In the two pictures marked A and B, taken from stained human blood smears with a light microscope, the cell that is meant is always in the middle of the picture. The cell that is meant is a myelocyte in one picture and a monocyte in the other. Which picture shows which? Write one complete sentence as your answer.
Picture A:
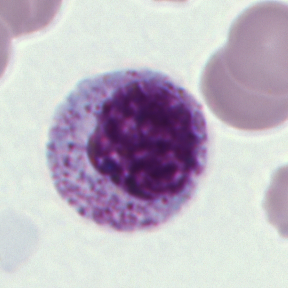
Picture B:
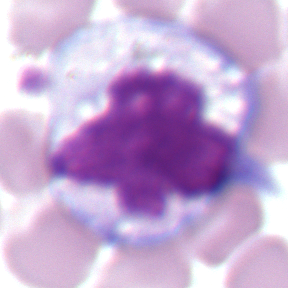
The cell in picture A is a myelocyte, and the one in picture B is a monocyte.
